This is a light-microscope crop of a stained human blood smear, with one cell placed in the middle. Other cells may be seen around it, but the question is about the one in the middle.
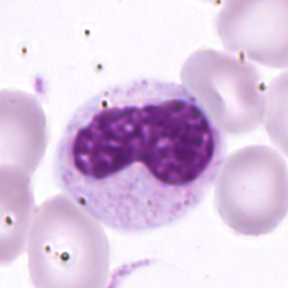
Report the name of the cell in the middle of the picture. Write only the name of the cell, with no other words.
band neutrophil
